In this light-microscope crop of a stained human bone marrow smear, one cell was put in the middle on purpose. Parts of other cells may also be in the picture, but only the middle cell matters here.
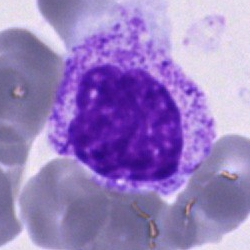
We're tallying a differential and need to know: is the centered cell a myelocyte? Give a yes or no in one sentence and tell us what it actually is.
Yes, as regards the cell in the middle, it is a myelocyte.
